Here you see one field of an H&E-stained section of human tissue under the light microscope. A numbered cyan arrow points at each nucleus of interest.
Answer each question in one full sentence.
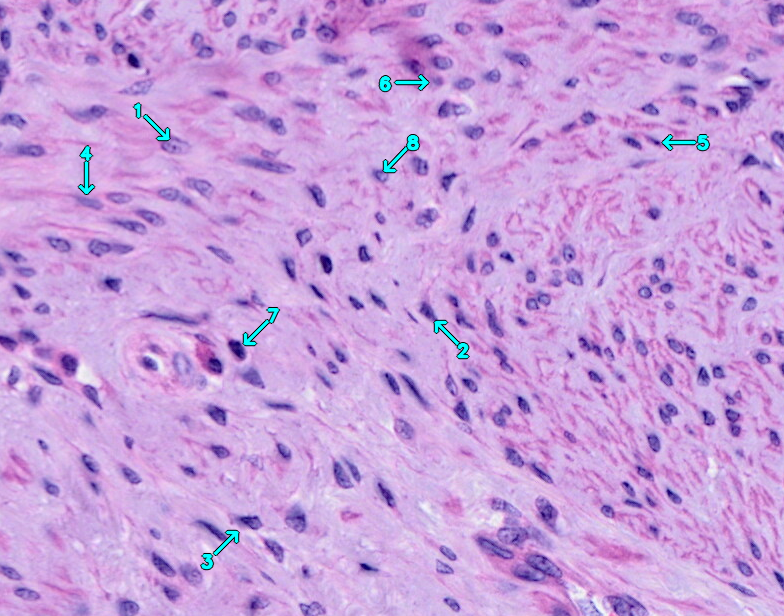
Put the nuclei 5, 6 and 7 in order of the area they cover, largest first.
From largest to smallest, the order is 7, 6, 5.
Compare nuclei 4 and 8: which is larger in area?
At about 1.5 times the area of nucleus 8, nucleus 4 is the larger of the two.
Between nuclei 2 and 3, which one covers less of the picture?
With nucleus 3 about 1.5 times its size, nucleus 2 is the smaller of the two.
